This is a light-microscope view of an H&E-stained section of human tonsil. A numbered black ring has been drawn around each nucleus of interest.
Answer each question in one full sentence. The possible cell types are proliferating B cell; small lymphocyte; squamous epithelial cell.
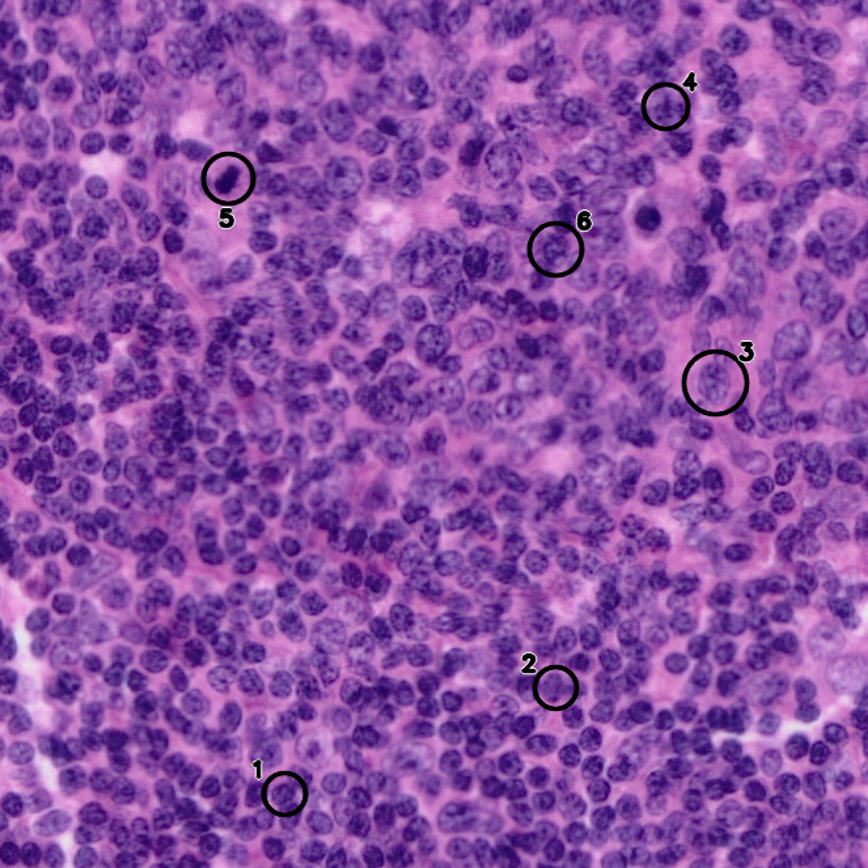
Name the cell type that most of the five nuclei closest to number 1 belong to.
The majority of the five nuclei closest to number 1 belong to small lymphocytes.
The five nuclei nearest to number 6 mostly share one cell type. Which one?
The majority of the five nuclei closest to number 6 belong to proliferating B cells.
